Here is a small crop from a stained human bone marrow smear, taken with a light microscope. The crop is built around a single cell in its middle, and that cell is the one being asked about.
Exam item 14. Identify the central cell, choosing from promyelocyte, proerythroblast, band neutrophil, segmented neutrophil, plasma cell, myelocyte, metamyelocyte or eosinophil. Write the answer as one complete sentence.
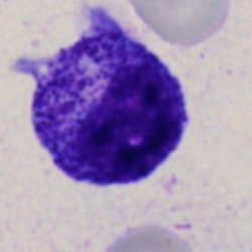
Within this crop, a myelocyte occupies the central position.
